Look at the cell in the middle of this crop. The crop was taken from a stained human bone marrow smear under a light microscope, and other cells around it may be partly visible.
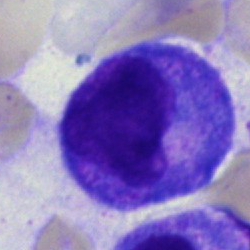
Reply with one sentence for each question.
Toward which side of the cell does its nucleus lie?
Seen from the middle of the cell, the nucleus lies toward the left.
